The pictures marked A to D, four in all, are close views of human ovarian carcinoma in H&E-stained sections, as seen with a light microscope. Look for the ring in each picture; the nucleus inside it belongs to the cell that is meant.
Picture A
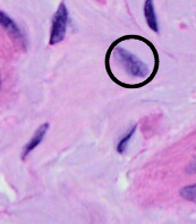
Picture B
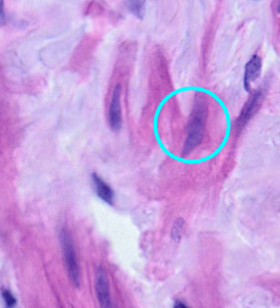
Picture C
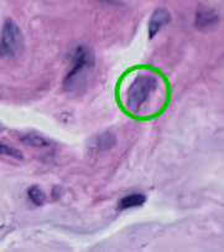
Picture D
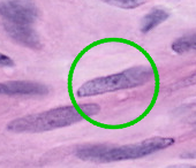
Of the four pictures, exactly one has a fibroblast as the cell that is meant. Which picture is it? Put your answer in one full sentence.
The cell in picture A is the fibroblast.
